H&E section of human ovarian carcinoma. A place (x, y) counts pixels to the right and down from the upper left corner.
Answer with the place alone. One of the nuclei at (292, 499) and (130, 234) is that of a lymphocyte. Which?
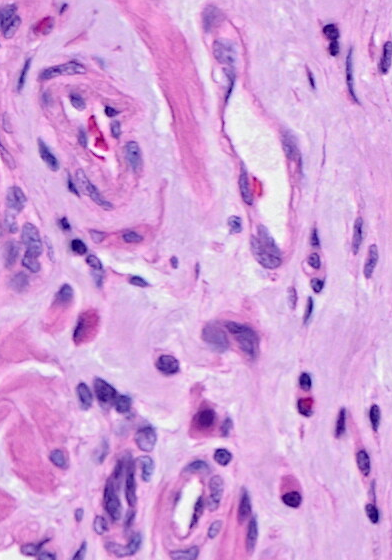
(292, 499)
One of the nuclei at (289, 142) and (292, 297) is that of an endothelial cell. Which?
(289, 142)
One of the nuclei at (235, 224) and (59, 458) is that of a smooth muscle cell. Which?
(59, 458)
